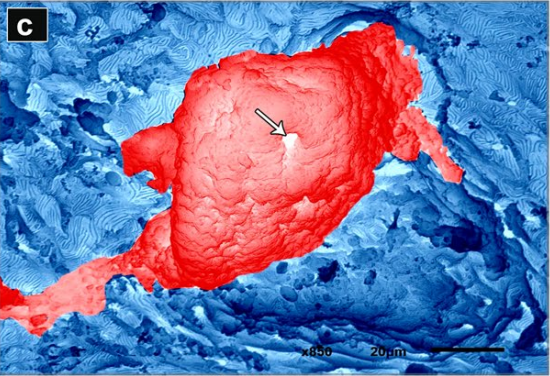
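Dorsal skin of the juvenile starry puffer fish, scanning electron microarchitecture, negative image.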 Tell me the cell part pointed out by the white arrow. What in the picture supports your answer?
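The body surface is rough and granular.
Hence: pores.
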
